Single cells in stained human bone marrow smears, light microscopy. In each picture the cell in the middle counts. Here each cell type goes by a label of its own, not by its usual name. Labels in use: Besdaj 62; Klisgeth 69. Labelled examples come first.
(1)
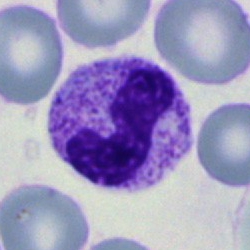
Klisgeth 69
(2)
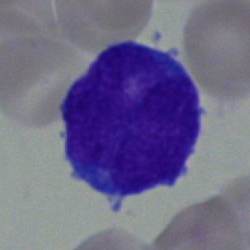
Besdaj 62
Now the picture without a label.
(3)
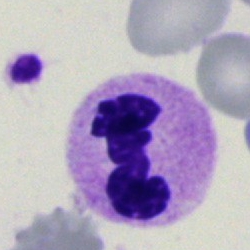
Klisgeth 69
